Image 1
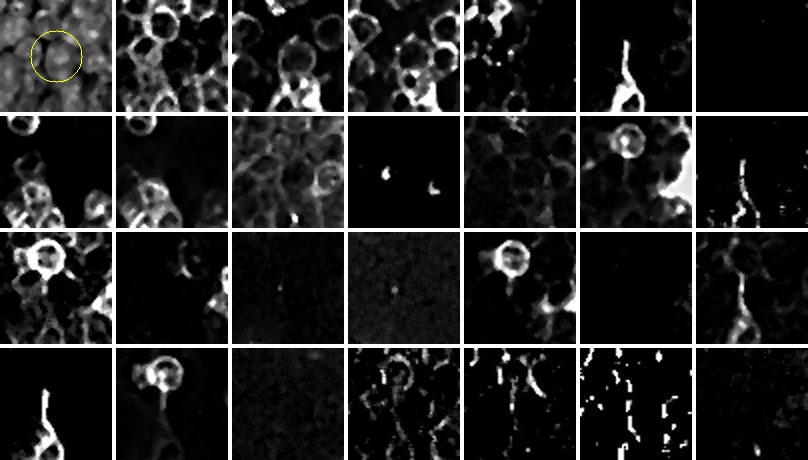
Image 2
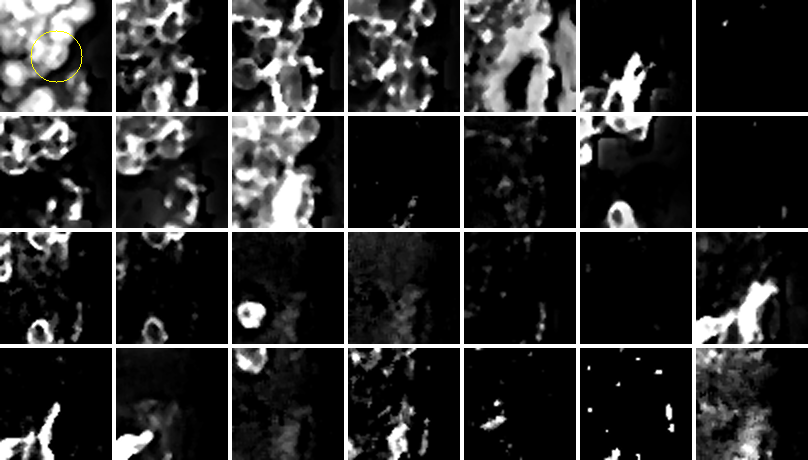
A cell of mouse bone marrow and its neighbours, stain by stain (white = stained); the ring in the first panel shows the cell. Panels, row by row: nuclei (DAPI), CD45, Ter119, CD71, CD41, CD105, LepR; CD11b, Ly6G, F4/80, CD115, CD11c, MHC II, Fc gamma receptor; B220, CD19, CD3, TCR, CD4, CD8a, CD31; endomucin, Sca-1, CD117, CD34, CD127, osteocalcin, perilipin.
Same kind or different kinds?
Same: capillary endothelial cells.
